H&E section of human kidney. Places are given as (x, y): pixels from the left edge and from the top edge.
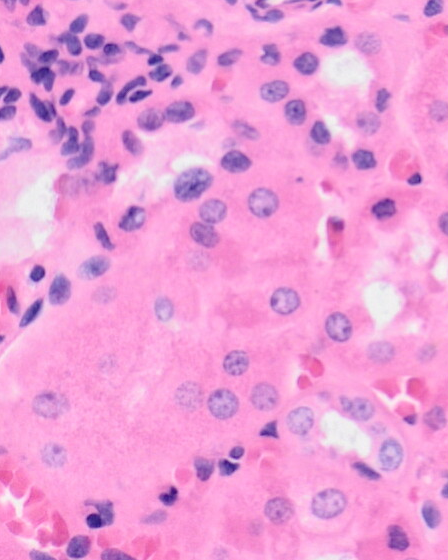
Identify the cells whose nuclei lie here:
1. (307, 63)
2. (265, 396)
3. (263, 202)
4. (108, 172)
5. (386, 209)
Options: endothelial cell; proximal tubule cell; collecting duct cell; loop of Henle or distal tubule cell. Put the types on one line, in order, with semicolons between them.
loop of Henle or distal tubule cell; proximal tubule cell; proximal tubule cell; loop of Henle or distal tubule cell; proximal tubule cell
